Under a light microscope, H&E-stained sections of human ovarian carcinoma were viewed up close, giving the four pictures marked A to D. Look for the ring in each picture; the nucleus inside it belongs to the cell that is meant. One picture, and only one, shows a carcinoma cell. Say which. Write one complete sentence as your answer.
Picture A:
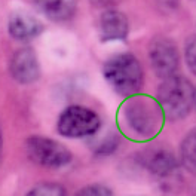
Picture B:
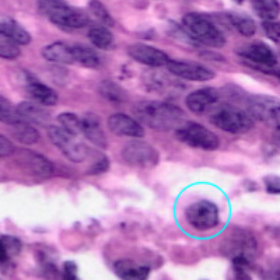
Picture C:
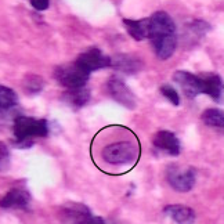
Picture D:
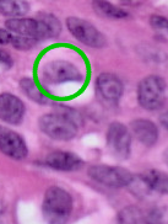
It is picture A that shows the carcinoma cell.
